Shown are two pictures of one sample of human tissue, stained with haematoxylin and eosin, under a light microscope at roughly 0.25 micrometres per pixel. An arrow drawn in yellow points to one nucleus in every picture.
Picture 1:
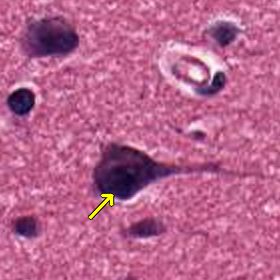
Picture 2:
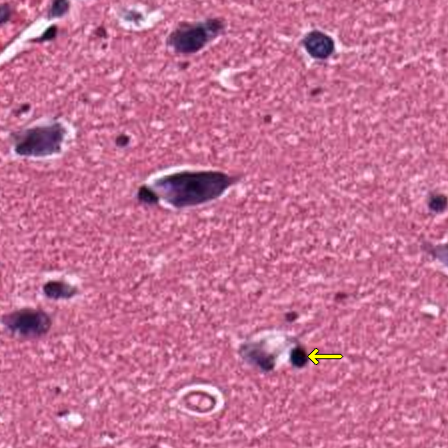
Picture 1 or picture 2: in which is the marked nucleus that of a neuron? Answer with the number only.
1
